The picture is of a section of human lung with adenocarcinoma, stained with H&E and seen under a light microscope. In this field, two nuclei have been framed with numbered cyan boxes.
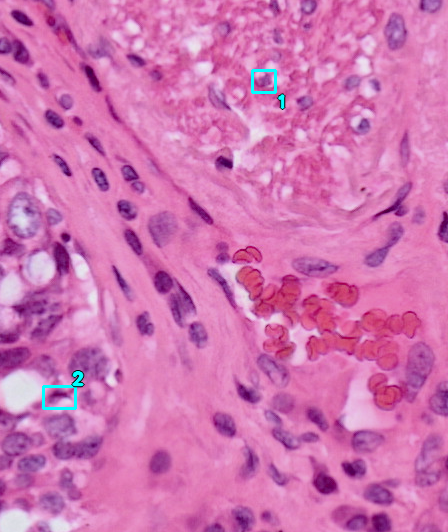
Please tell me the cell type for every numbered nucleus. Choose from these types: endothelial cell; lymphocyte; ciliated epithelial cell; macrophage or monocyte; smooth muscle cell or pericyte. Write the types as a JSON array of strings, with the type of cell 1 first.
["smooth muscle cell or pericyte", "ciliated epithelial cell"]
